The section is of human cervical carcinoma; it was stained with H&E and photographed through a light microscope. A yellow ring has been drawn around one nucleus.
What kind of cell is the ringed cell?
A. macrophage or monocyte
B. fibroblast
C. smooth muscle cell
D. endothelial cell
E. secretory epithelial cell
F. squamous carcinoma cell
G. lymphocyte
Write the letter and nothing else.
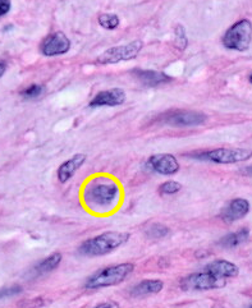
C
